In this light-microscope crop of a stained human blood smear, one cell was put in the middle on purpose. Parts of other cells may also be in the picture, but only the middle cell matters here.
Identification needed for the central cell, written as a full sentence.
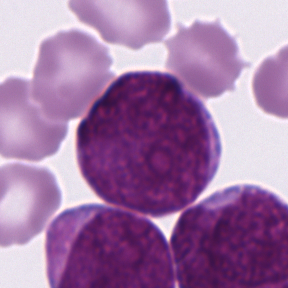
Answering briefly, the cell in the middle is a myeloblast.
